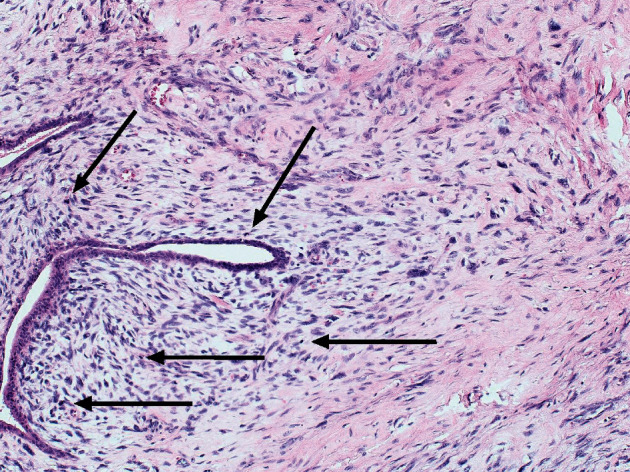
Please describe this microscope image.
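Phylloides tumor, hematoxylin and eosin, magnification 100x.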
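The channels are lined by a layer of cells with dark purple nuclei. The stroma right around the channels is crowded with plump, spindle-shaped cells with oval to elongated dark nuclei. Farther from the channels, the stroma becomes paler and pinker, with more collagen and fewer cells. A few small blood vessels run through the stroma.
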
